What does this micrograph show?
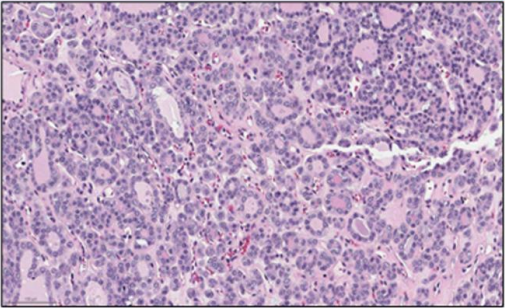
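Thyroid tumour tissue made of closely packed small follicles lined by cuboidal epithelial cells with round, crowded, rather pale purple nuclei. Many follicles hold pink colloid, and thin strands of stroma with a few red blood cells run between them. No papillary fronds are seen, so this is a follicular growth pattern of a thyroid follicular-cell neoplasm.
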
